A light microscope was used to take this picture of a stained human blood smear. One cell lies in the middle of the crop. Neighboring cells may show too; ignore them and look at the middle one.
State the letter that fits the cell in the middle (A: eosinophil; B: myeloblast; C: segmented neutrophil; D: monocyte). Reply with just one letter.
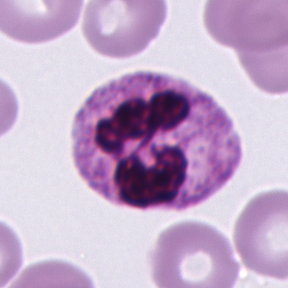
C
